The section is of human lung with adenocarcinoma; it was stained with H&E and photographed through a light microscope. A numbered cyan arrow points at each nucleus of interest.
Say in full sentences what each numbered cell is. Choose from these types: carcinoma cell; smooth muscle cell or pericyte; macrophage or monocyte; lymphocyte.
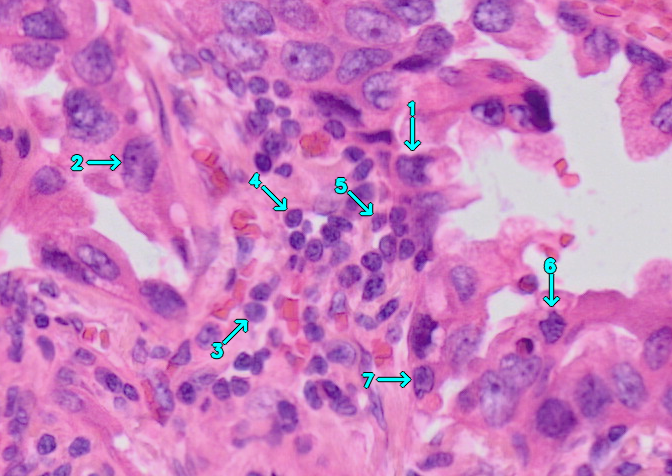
Cells 1, 2, 6 and 7 are carcinoma cells. Cells 3, 4 and 5 are lymphocytes.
